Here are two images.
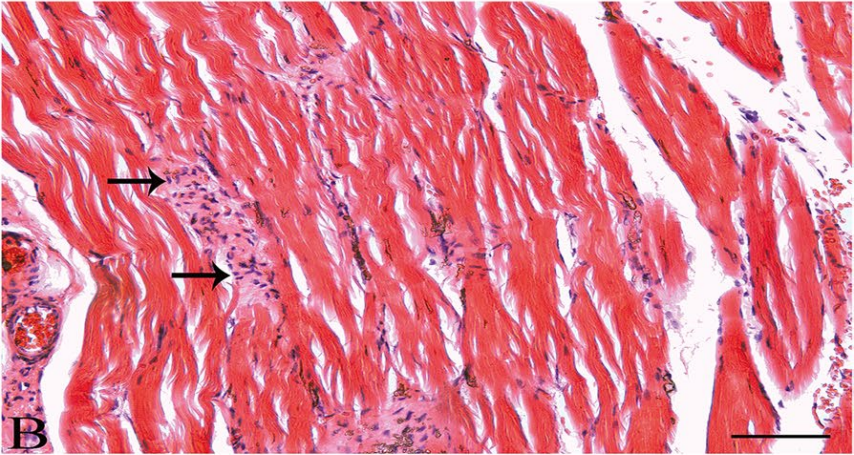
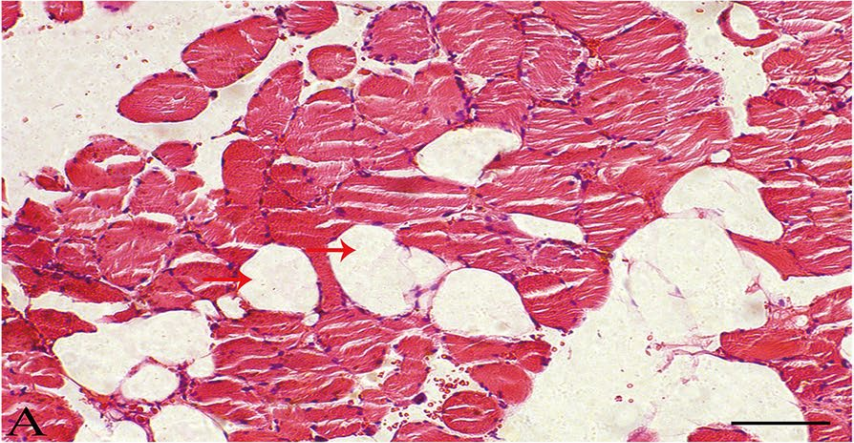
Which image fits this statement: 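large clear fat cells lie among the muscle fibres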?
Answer: The second image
